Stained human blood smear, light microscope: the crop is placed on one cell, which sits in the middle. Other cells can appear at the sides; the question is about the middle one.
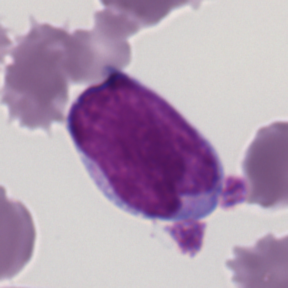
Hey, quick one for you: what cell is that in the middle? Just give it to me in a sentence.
The crop centres on a single cell, and that cell is a blast.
